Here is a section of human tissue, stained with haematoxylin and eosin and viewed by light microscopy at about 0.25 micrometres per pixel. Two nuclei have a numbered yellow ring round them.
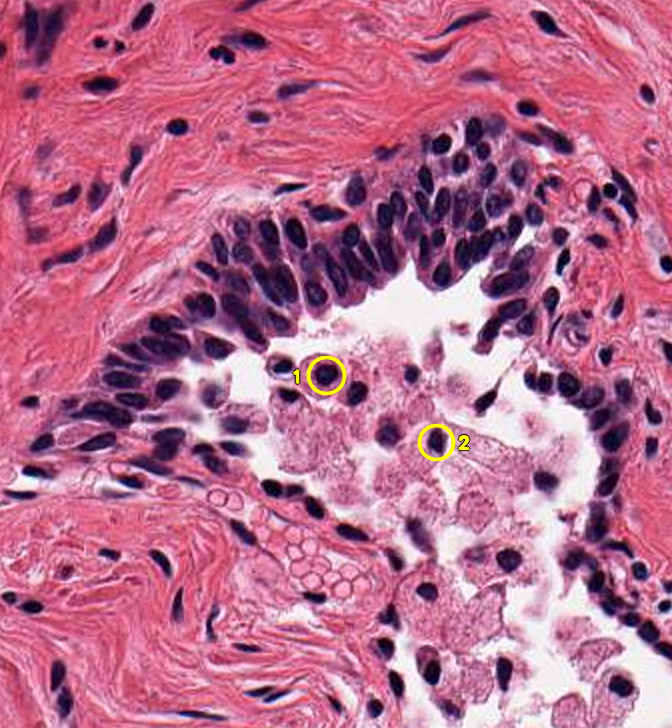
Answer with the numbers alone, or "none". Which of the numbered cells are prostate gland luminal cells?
none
